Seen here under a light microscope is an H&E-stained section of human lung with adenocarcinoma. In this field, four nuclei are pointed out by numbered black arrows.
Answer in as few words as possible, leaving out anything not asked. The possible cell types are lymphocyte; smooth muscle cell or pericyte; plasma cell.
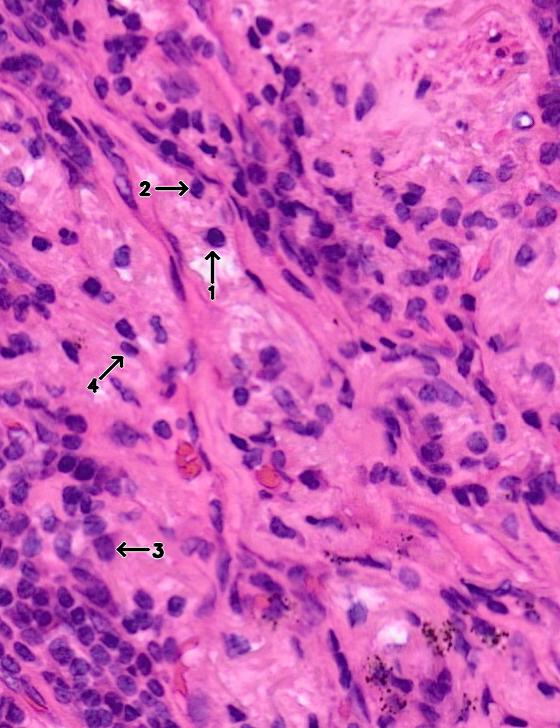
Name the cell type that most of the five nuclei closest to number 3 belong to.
lymphocyte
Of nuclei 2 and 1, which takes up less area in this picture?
2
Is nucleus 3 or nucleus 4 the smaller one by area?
4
